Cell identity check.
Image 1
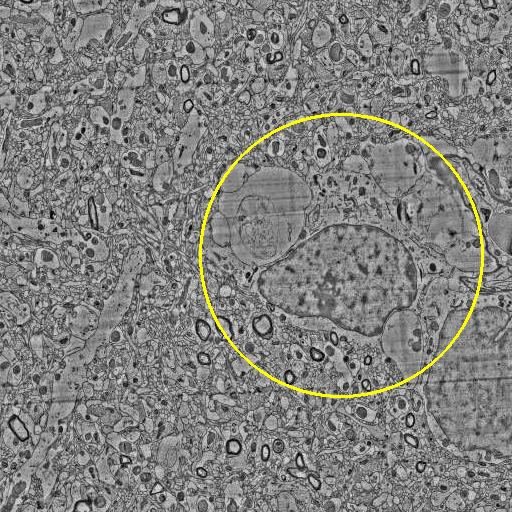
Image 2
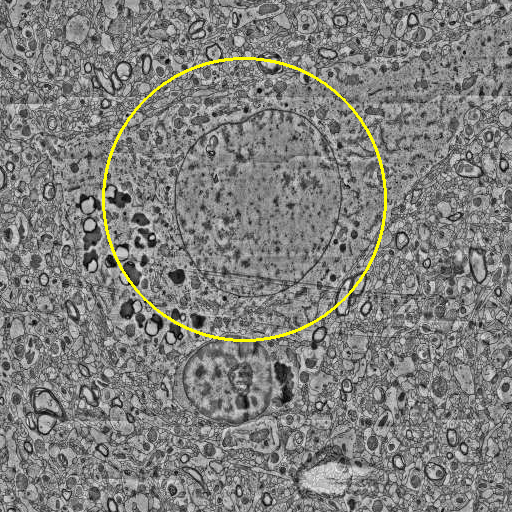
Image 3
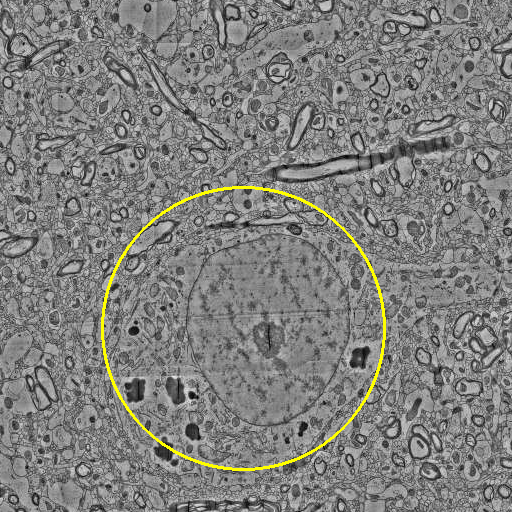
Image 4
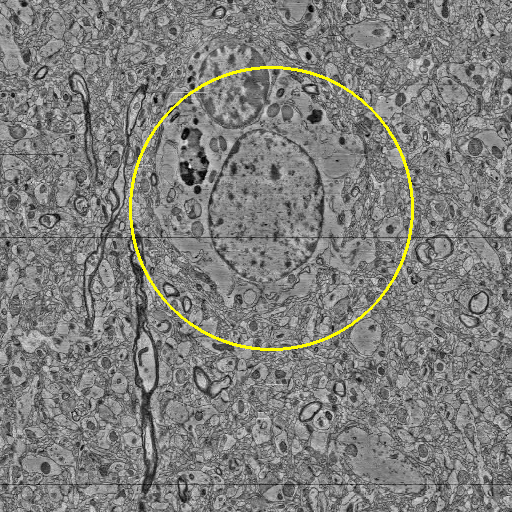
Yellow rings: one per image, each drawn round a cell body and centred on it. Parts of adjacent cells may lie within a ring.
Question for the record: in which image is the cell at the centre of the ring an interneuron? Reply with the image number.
3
